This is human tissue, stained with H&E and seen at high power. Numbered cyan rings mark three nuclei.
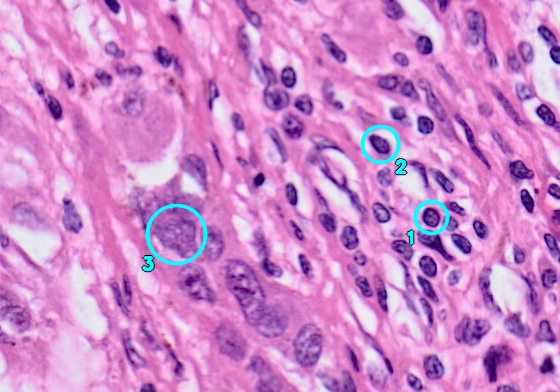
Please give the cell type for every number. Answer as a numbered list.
1. lymphocyte
2. lymphocyte
3. melanoma cell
